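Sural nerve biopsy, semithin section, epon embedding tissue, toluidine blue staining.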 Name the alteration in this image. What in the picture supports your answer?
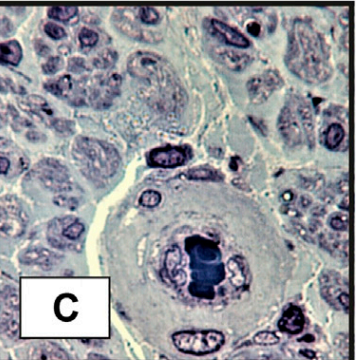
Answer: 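A small vessel with a tiny central lumen is surrounded by a broad pale concentric wall. The vessel lies among nerve fibres cut in cross section.
Conclusion: thickened vessel wall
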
